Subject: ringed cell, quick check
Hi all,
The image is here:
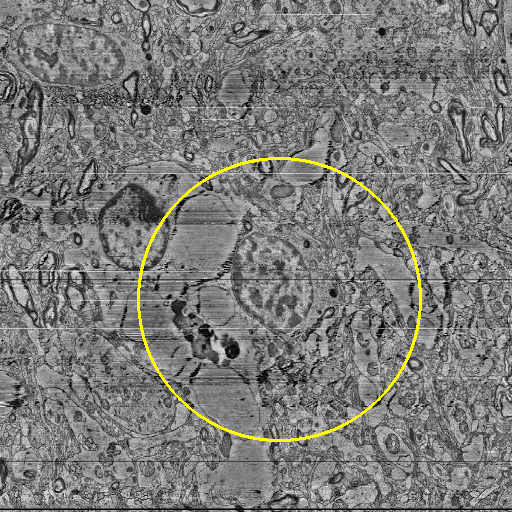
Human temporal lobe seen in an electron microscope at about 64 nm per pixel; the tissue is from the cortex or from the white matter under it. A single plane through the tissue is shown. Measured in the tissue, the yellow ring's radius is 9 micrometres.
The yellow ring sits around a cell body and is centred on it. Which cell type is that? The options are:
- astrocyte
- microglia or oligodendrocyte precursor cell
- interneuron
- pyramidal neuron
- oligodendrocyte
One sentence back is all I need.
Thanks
That ringed cell is an oligodendrocyte.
